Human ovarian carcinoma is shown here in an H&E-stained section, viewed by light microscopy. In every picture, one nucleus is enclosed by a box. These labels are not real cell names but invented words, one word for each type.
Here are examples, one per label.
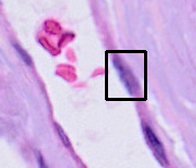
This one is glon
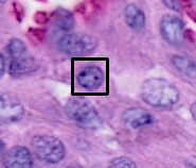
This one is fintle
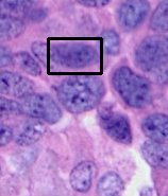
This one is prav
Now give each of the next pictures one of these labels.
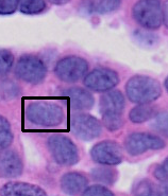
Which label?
prav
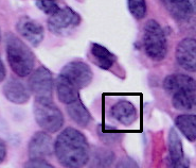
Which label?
fintle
